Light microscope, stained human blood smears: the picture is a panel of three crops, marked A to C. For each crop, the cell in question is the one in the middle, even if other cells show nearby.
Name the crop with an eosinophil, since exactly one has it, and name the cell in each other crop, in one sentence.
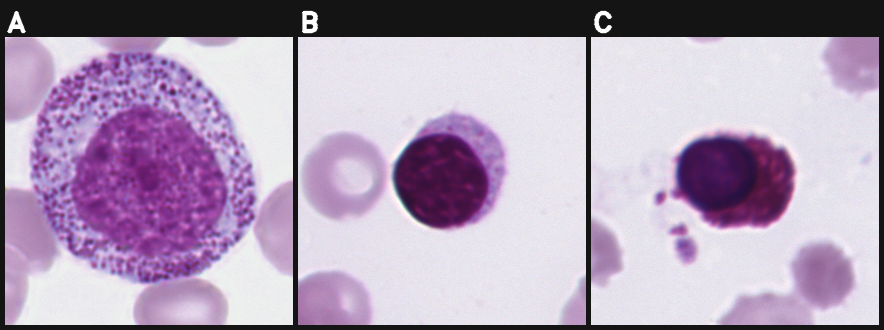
Seen in crop C is an eosinophil, while crop A is a myelocyte and crop B is a large granular lymphocyte.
